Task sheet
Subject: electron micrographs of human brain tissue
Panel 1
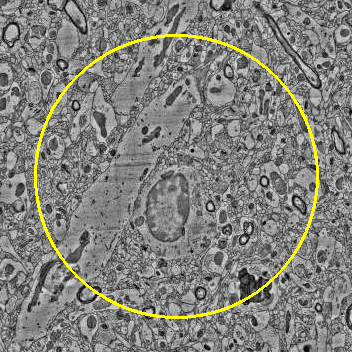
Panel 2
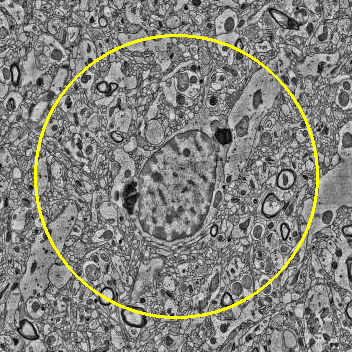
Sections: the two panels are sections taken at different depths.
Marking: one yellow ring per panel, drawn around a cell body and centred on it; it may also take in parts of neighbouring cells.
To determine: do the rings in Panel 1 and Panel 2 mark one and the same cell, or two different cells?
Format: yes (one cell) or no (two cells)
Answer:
yes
